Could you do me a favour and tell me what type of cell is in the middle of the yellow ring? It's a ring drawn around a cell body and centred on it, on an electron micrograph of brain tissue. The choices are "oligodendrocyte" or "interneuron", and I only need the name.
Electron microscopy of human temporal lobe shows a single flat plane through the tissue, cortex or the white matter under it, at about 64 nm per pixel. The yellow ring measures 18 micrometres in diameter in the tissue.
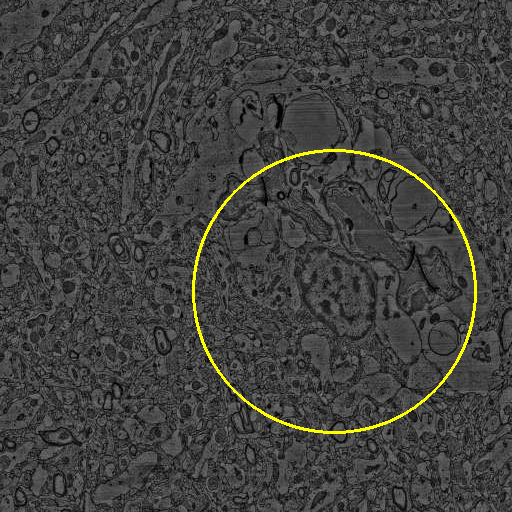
oligodendrocyte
